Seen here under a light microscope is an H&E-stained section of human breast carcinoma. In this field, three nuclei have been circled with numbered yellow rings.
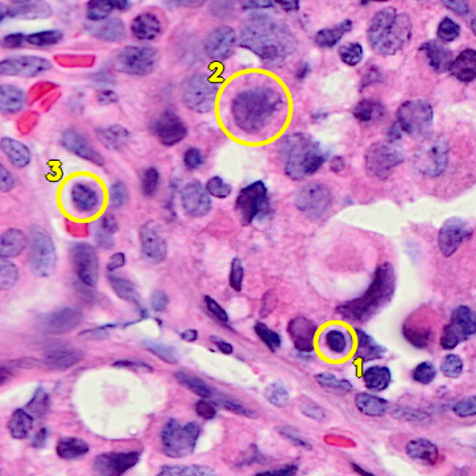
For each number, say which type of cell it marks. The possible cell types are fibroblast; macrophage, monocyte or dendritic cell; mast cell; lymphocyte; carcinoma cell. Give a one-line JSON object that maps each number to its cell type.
{"1": "lymphocyte", "2": "carcinoma cell", "3": "mast cell"}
